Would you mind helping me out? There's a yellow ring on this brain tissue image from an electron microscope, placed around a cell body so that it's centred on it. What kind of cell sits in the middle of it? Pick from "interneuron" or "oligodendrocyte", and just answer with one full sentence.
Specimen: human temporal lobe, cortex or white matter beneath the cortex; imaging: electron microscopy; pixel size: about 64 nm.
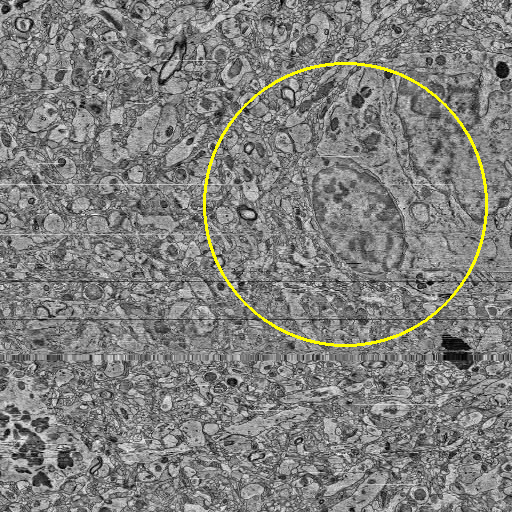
What sits in the middle of that yellow ring is an oligodendrocyte, from your choices.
